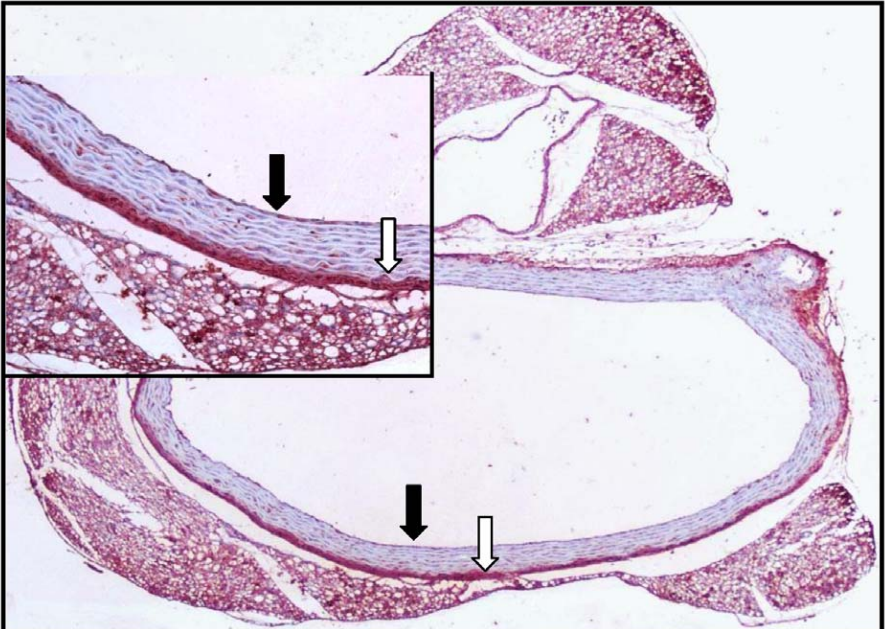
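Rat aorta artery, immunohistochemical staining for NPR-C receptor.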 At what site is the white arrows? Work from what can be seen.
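The white arrows point at the outer edge of the vessel wall. This outer layer stains red and lies next to the surrounding fatty connective tissue.
Hence: adventitial.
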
